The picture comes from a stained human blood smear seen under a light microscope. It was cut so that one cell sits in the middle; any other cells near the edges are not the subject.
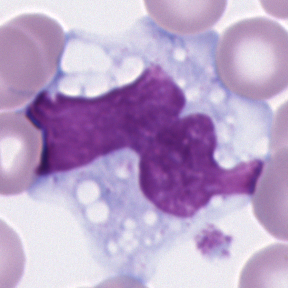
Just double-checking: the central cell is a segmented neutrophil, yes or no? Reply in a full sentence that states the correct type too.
No, what is seen at the centre is a monocyte instead of a segmented neutrophil.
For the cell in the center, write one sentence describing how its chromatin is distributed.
What stands out is fine chromatin lacking any coarse clumps.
